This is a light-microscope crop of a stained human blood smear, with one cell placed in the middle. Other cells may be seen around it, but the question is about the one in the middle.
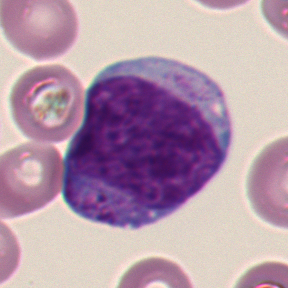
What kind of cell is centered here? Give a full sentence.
In the crop, the cell of interest at the centre is an atypical promyelocyte.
